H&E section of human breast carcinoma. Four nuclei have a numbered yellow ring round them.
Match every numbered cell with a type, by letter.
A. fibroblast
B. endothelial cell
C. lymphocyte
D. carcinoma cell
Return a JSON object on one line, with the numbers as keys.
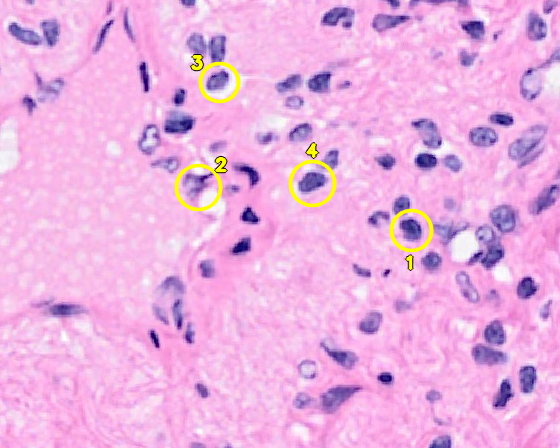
{"1": "C", "2": "B", "3": "C", "4": "C"}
